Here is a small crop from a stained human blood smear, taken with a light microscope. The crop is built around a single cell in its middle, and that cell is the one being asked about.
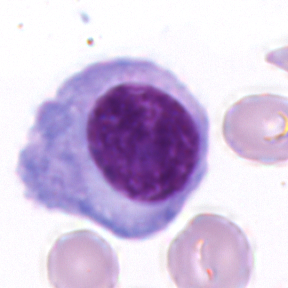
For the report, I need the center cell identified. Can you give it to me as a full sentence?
The cell occupying the middle of the crop is a plasma cell.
